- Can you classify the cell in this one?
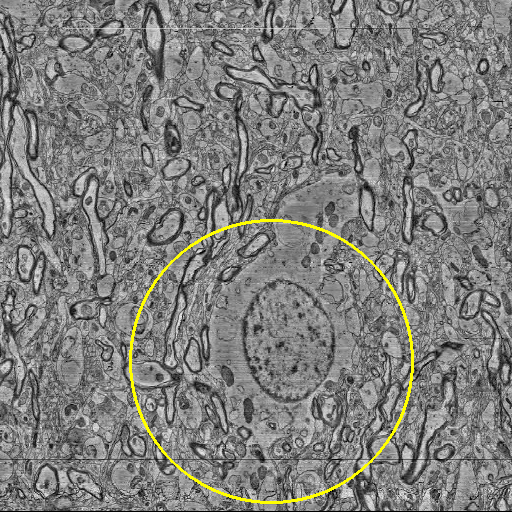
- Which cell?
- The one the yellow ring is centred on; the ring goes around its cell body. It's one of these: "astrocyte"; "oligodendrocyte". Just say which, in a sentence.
The cell body in the ring belongs to an astrocyte.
